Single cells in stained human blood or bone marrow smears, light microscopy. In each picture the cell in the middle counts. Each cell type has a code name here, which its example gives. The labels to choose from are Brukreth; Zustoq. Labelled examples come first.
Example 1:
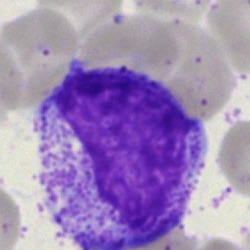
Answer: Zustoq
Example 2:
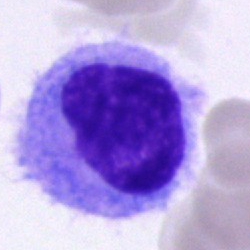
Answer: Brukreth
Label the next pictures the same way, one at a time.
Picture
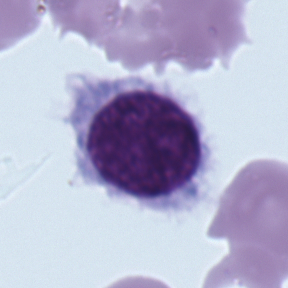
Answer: Brukreth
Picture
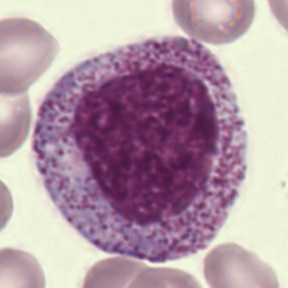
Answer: Zustoq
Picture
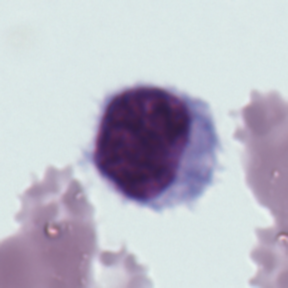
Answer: Brukreth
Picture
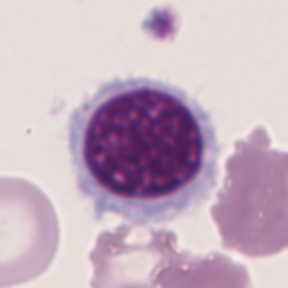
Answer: Brukreth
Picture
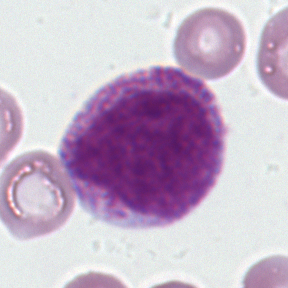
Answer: Zustoq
